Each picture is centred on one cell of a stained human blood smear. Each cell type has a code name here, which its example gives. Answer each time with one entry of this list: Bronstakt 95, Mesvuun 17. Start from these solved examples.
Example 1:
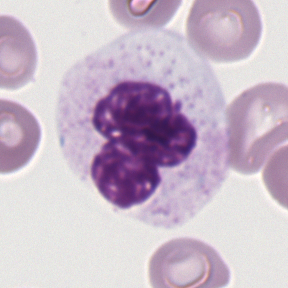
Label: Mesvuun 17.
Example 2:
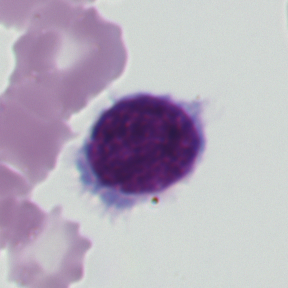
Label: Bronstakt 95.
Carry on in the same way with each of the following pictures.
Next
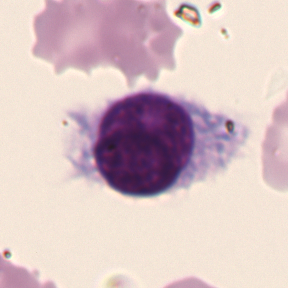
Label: Bronstakt 95.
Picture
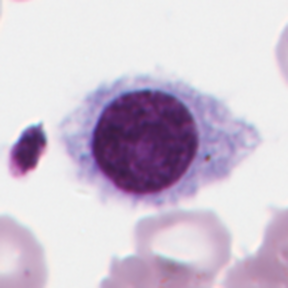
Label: Bronstakt 95.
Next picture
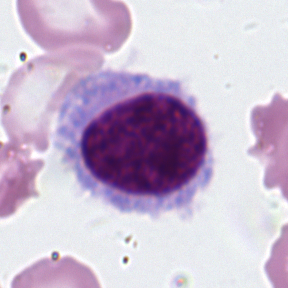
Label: Bronstakt 95.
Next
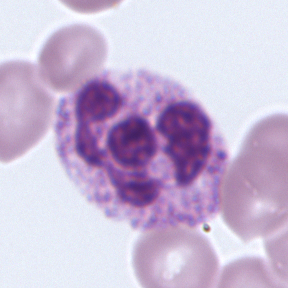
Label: Mesvuun 17.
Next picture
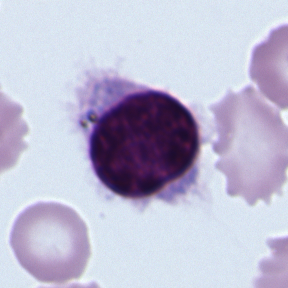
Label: Bronstakt 95.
